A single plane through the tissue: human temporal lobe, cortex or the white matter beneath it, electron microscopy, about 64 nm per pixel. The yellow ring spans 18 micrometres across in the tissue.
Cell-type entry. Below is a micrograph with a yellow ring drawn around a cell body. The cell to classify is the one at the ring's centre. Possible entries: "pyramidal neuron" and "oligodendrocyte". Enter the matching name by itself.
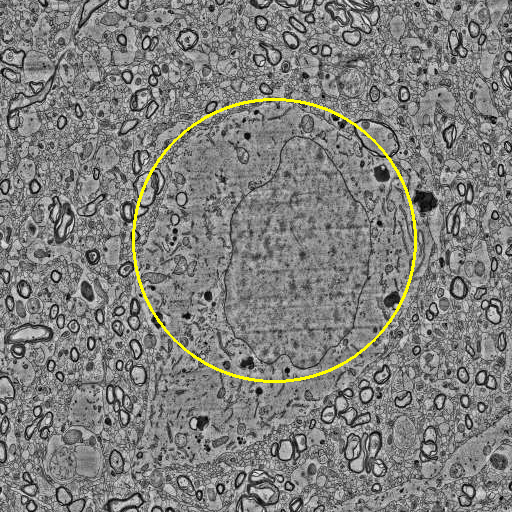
pyramidal neuron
